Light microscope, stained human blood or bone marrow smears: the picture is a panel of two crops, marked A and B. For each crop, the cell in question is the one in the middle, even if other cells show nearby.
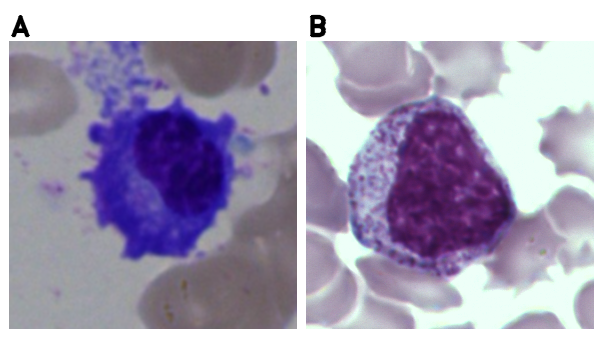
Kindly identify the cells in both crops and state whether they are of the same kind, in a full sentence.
No, the cell centred in crop A is a plasma cell, and that centred in crop B is a myelocyte.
